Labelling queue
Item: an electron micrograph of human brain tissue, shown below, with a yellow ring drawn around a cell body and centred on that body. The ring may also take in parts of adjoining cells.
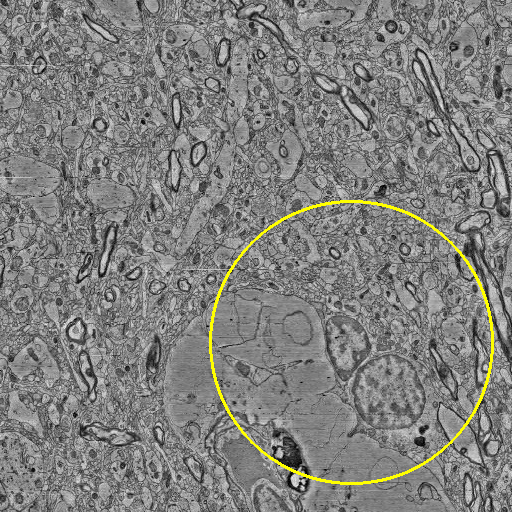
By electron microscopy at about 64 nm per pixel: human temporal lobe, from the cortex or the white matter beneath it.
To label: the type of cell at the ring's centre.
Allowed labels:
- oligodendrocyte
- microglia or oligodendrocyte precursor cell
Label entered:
microglia or oligodendrocyte precursor cell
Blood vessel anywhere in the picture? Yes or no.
Yes, a blood vessel can be seen.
